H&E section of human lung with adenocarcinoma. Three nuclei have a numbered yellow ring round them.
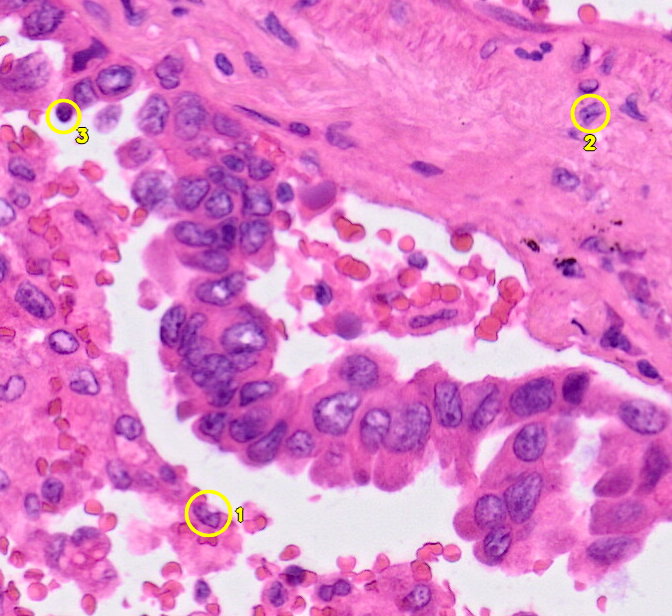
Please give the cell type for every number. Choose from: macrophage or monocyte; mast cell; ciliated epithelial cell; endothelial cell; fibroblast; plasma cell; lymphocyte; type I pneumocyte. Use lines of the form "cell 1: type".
cell 1: macrophage or monocyte
cell 2: fibroblast
cell 3: lymphocyte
